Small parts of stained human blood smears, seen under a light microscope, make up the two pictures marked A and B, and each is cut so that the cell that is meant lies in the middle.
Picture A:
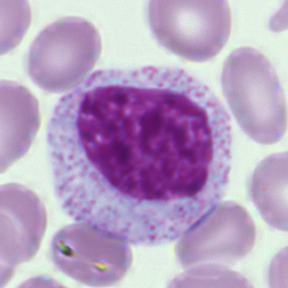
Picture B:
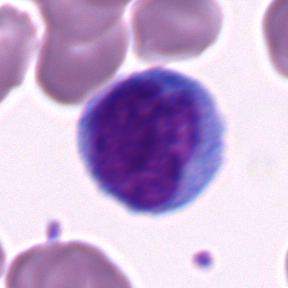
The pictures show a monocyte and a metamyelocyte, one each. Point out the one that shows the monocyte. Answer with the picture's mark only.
B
